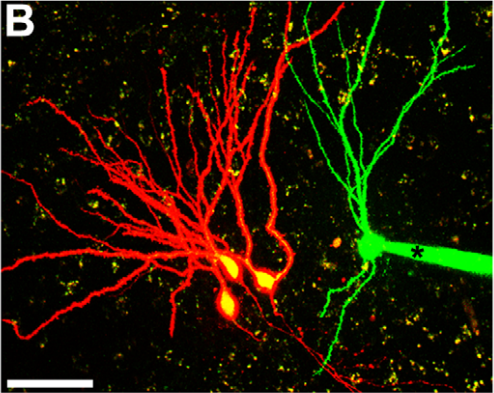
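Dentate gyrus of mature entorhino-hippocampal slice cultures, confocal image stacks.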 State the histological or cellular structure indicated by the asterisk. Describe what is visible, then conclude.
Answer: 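Patch pipette. A thick, smooth, uniformly green tube runs from the right edge to a green soma. The tube lacks branches, unlike the dendrites around it.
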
